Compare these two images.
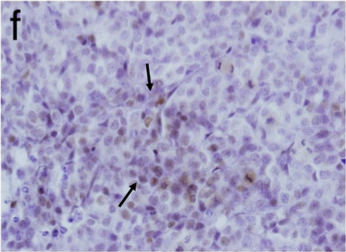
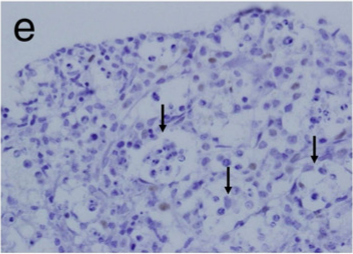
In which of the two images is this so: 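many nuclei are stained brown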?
The first image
